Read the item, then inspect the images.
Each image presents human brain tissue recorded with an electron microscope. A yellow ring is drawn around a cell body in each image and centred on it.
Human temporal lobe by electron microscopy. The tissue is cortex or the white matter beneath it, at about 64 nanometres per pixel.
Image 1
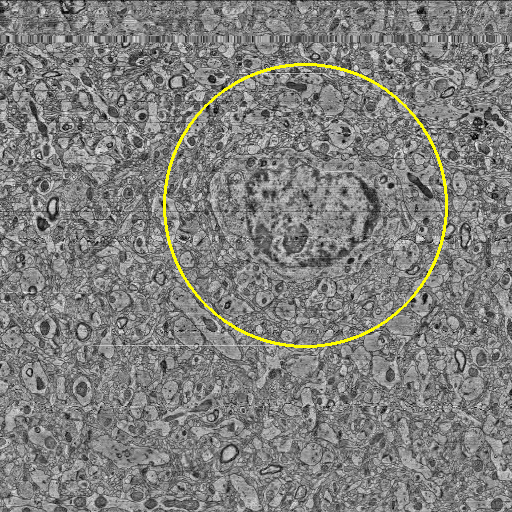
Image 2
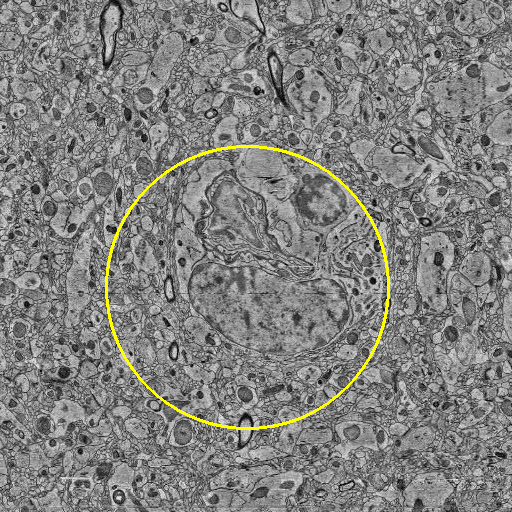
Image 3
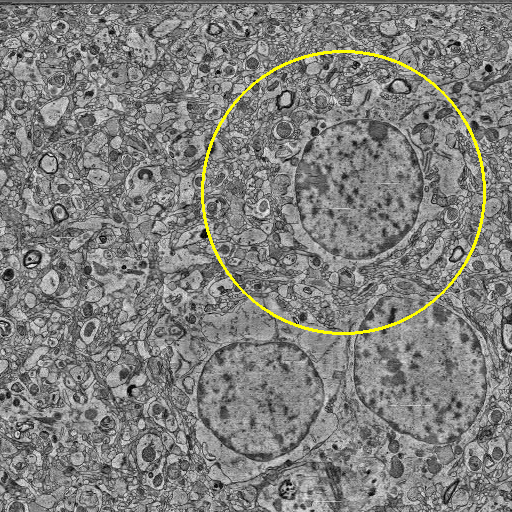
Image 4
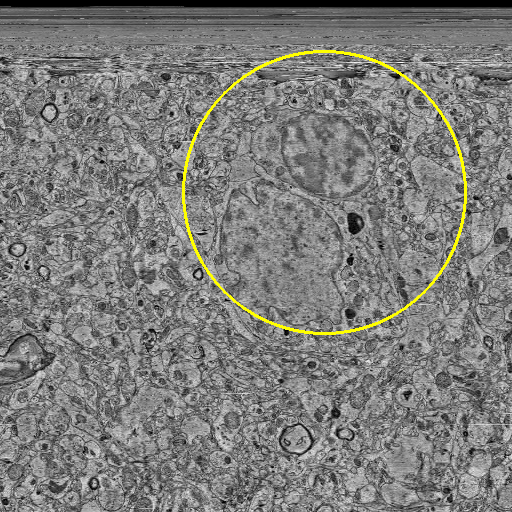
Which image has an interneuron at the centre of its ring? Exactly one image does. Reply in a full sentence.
The ring in Image 1 is centred on it.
